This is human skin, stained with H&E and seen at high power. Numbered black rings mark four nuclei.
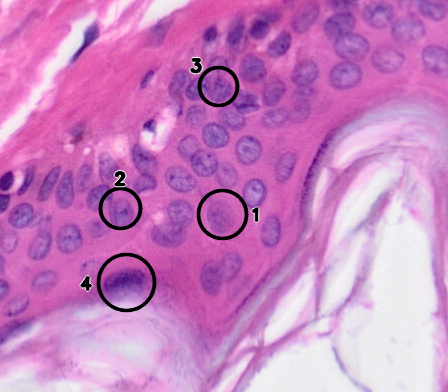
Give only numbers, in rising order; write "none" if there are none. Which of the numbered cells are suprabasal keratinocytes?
1, 2, 4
